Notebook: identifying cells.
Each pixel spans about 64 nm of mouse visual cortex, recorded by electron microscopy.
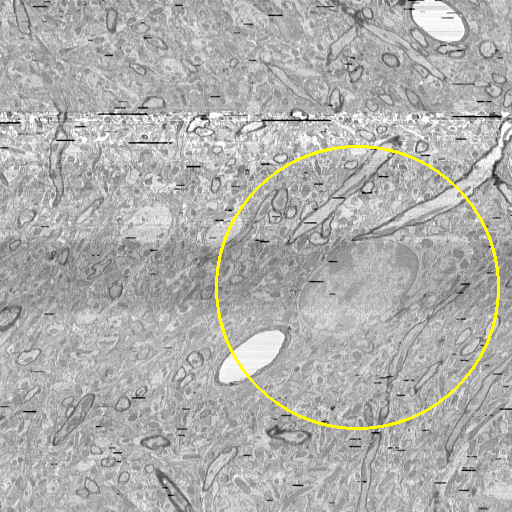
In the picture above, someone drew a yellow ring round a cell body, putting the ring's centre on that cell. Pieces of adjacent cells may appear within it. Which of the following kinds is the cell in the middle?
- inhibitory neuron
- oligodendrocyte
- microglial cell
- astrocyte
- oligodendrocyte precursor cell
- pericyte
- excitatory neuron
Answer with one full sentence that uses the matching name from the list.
In this picture, the yellow ring is centred on the body of an oligodendrocyte.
